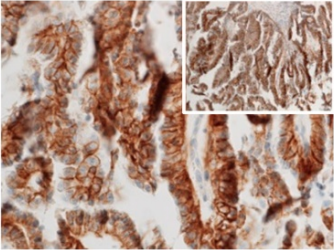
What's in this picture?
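Section of a papillary tumour in which malignant epithelial cells line branching fronds with thin stromal cores. The tumour cells are stained brown, most intensely along their plasma membranes, so that cell borders stand out as dark brown outlines. Nuclei are blue, round to oval and crowded, often stacked in more than one layer. The stromal cores between the fronds contain spindle-shaped cells with little or no brown stain. The lower-power inset shows the same branching papillary architecture with staining throughout the epithelium.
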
